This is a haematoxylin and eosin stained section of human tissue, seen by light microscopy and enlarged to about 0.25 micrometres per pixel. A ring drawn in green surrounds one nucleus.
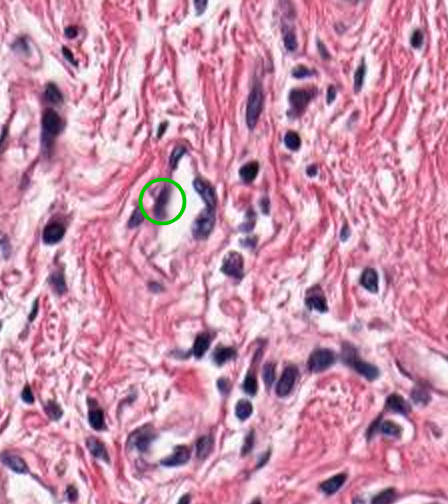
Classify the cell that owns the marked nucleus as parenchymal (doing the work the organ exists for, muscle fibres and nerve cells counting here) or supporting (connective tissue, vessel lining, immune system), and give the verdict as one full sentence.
It is a supporting cell to which the marked nucleus belongs.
